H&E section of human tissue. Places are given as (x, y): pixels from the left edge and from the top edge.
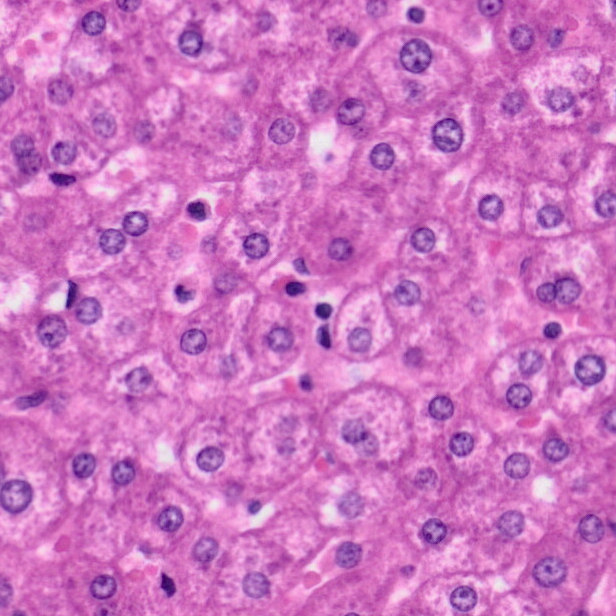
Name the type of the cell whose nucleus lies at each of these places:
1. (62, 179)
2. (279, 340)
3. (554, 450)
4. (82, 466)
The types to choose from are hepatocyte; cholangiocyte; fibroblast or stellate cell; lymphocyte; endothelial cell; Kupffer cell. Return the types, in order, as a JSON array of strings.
["fibroblast or stellate cell", "hepatocyte", "hepatocyte", "hepatocyte"]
